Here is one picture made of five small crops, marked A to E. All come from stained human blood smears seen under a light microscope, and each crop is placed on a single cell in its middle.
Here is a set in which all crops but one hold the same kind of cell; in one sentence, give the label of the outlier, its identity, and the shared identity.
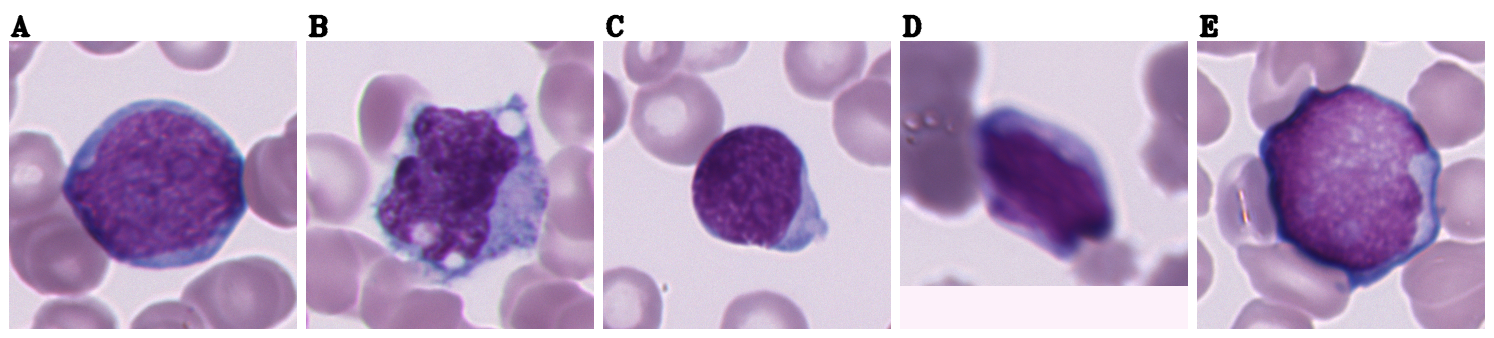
The central cell of crop B is a monocyte, while the other crops show myeloblasts.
